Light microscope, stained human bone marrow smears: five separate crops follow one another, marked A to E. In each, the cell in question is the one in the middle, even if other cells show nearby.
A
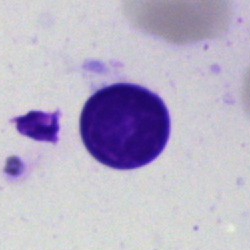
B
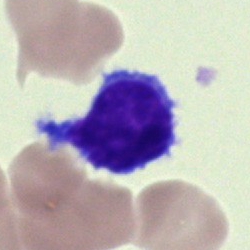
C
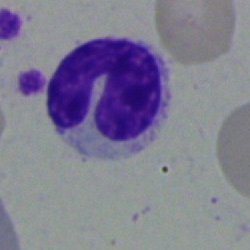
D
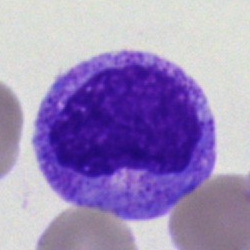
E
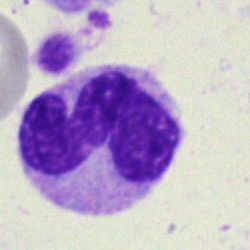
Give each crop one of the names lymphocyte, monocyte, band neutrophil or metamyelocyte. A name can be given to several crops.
A: lymphocyte
B: lymphocyte
C: band neutrophil
D: metamyelocyte
E: monocyte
